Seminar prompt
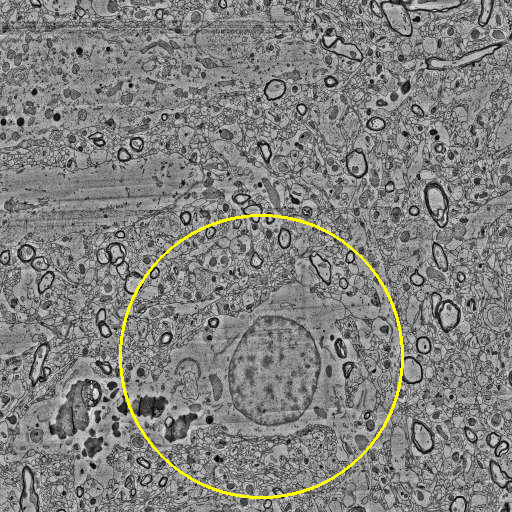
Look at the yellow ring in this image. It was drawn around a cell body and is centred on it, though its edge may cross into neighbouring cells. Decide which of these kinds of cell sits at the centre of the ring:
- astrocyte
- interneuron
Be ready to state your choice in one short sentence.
The kind of cell at the ring's centre is an astrocyte.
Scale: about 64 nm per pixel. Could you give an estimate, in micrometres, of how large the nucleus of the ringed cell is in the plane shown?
The nucleus is approximately 7 micrometers long by 6 micrometers wide in this plane.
